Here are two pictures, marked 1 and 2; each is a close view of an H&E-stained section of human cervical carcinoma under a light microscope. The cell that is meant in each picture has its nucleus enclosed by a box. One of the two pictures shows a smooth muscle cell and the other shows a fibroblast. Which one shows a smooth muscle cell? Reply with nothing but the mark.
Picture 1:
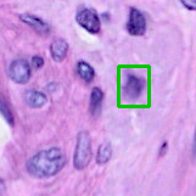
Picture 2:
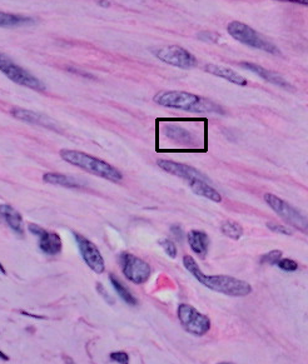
2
